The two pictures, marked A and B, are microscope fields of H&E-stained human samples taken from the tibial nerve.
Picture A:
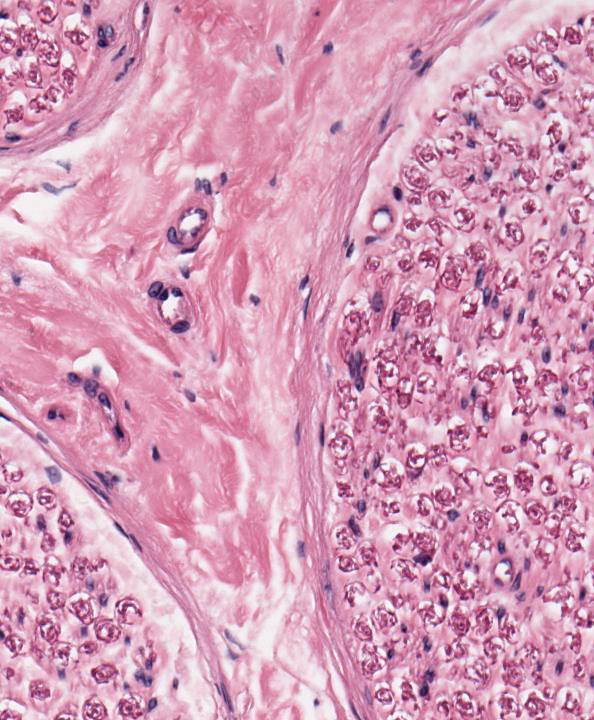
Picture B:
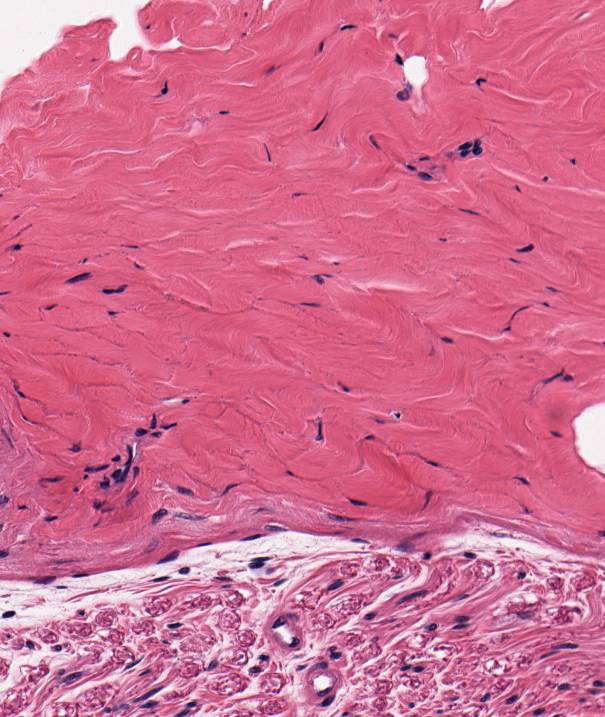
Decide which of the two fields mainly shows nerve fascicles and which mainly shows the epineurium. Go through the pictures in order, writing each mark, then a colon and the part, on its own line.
A: nerve fascicles
B: epineurium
